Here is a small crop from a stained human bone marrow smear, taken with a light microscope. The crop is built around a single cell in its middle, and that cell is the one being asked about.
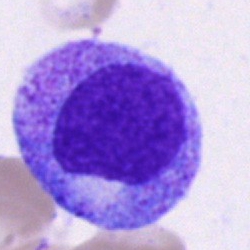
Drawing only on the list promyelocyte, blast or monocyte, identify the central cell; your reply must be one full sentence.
The cell nearest the centre of this crop is a promyelocyte.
